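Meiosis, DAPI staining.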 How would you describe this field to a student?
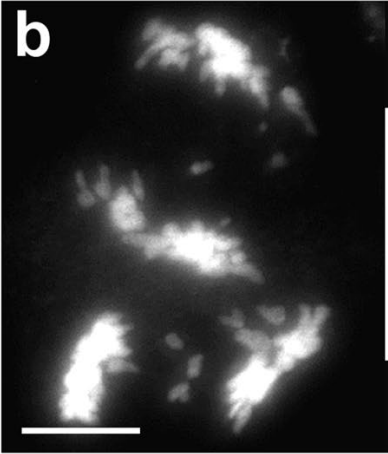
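Four groups of brightly stained condensed chromosomes lie in one cell, two in the upper half and two side by side below. The groups are elongated, with short chromosome arms fringing their edges, and several small separate chromosome bodies sit between them.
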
